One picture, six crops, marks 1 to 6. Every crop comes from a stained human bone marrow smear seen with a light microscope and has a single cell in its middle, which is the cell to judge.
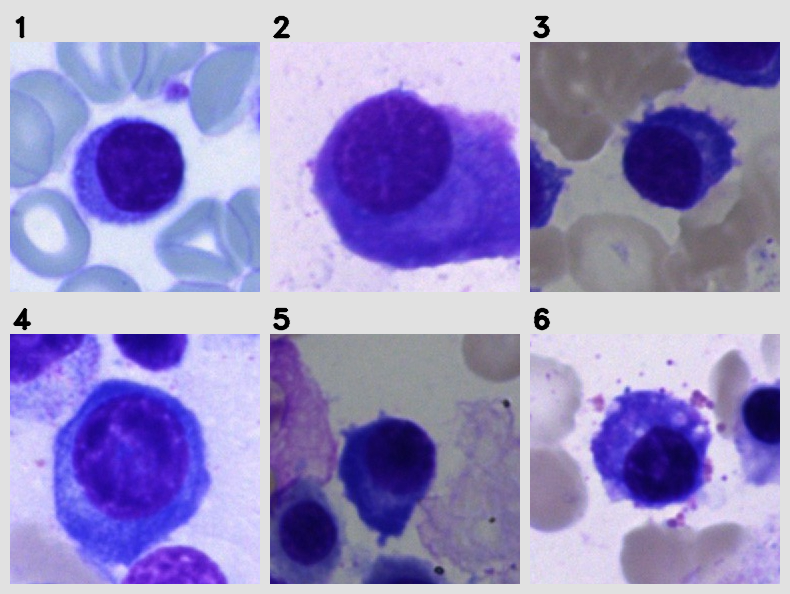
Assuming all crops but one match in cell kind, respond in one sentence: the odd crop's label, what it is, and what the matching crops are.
Crop 1 does not match the others; it shows a lymphocyte, and they show plasma cells.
